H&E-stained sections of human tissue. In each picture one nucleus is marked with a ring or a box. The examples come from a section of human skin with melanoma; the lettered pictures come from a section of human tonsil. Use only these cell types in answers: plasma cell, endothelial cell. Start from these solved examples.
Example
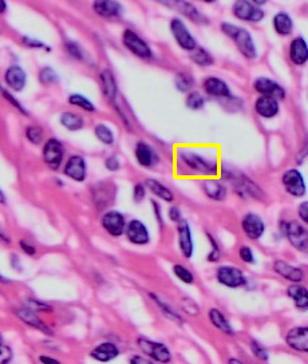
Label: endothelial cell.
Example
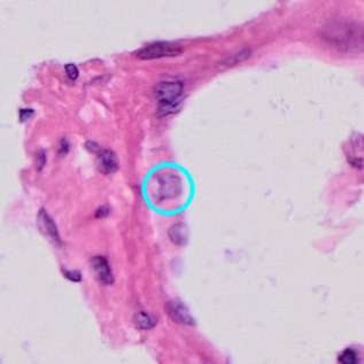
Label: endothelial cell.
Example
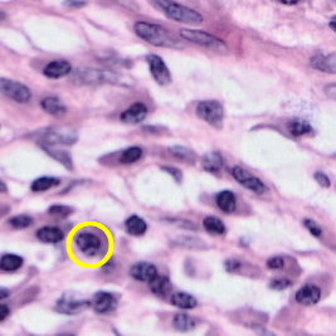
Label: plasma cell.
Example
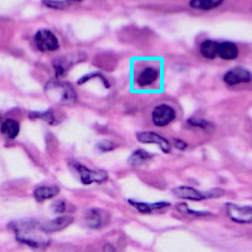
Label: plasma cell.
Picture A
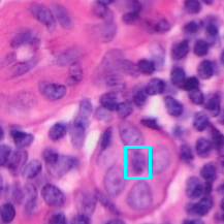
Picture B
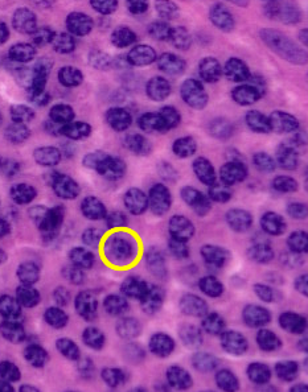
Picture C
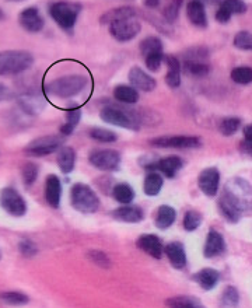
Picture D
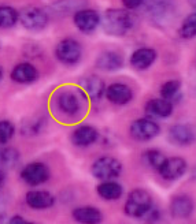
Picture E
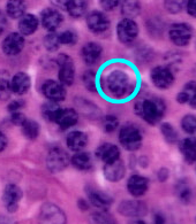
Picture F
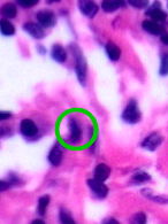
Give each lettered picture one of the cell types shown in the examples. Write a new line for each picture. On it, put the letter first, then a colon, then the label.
A: endothelial cell.
B: plasma cell.
C: endothelial cell.
D: plasma cell.
E: plasma cell.
F: endothelial cell.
